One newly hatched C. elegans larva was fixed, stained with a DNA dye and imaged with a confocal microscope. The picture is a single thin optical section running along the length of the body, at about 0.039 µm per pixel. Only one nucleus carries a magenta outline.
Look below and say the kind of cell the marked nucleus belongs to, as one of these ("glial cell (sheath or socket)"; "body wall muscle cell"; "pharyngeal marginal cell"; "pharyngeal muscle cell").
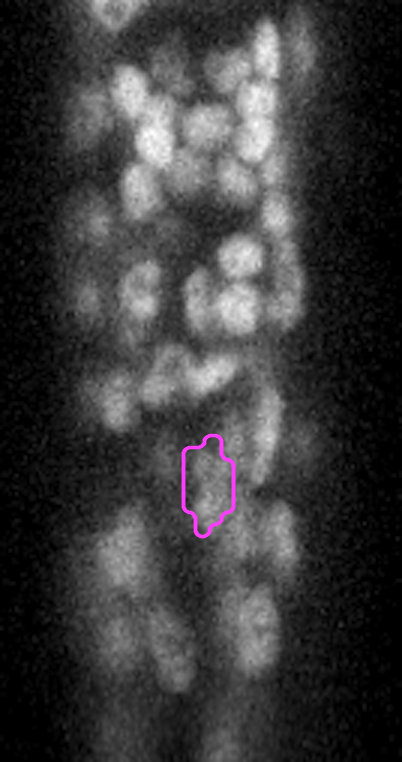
pharyngeal muscle cell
